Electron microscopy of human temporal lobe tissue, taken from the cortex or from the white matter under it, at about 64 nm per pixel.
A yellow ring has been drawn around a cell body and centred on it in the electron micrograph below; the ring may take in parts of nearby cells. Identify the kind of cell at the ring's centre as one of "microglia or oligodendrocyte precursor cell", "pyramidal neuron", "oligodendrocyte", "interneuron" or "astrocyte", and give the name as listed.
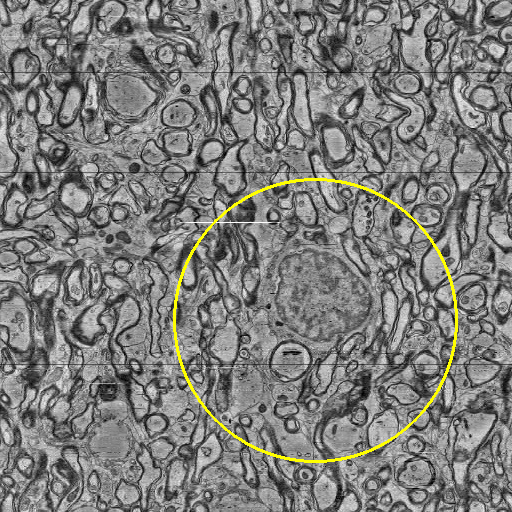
oligodendrocyte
